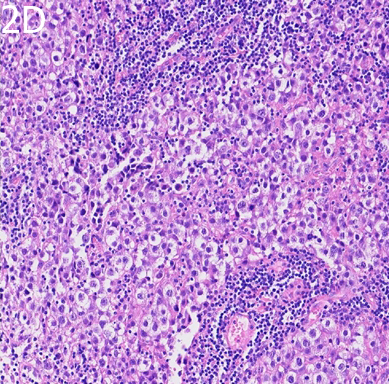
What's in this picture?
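Germ cell tumor tissue made of sheets of large polygonal tumor cells. Their cytoplasm is pale pink to clear with distinct cell borders; nuclei are round, central and vesicular, some with visible nucleoli. Interspersed among the tumor cells, and gathered in denser bands and clusters, are small round lymphocytes with dark, scant-cytoplasm nuclei, notably around a small vessel at the lower right and in a band across the upper left. The pattern is a two-cell population of large clear cells and lymphocytes, without glands or cysts.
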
